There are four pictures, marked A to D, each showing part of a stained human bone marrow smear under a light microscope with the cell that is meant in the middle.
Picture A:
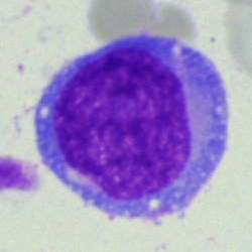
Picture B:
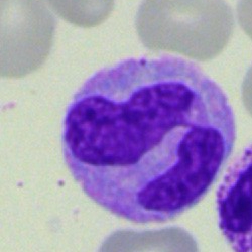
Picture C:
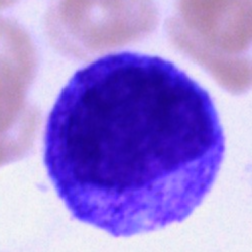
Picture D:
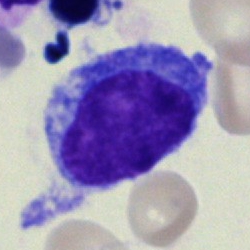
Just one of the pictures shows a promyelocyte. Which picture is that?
C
